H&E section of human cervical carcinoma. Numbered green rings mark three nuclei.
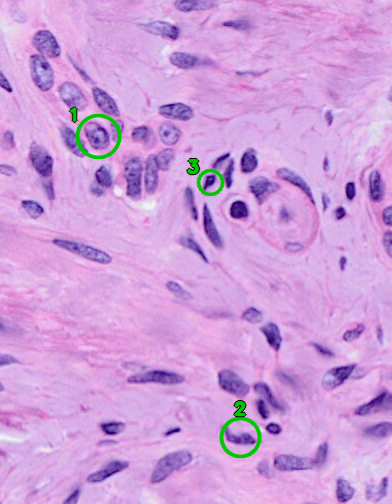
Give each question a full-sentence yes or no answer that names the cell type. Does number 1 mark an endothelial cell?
Yes, the cell identified by number 1 is an endothelial cell.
